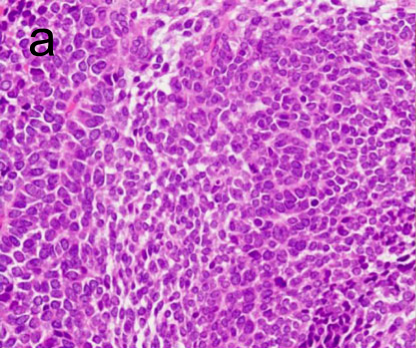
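This tumor is made of densely packed small and larger cells with dark, hyperchromatic nuclei and scant pink cytoplasm. The nuclei are round to oval and crowd against one another, leaving little space between cells. The cells form sheets and nest-like groups separated by thin, paler strands. No normal tissue architecture is retained in the field.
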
